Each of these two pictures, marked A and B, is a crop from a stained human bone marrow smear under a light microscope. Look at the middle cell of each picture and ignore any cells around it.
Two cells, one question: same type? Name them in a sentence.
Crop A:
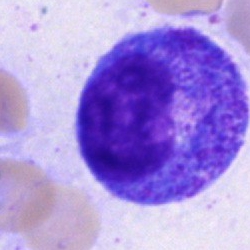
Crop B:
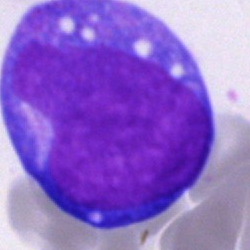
No, crop A represents a promyelocyte, and crop B represents a blast.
